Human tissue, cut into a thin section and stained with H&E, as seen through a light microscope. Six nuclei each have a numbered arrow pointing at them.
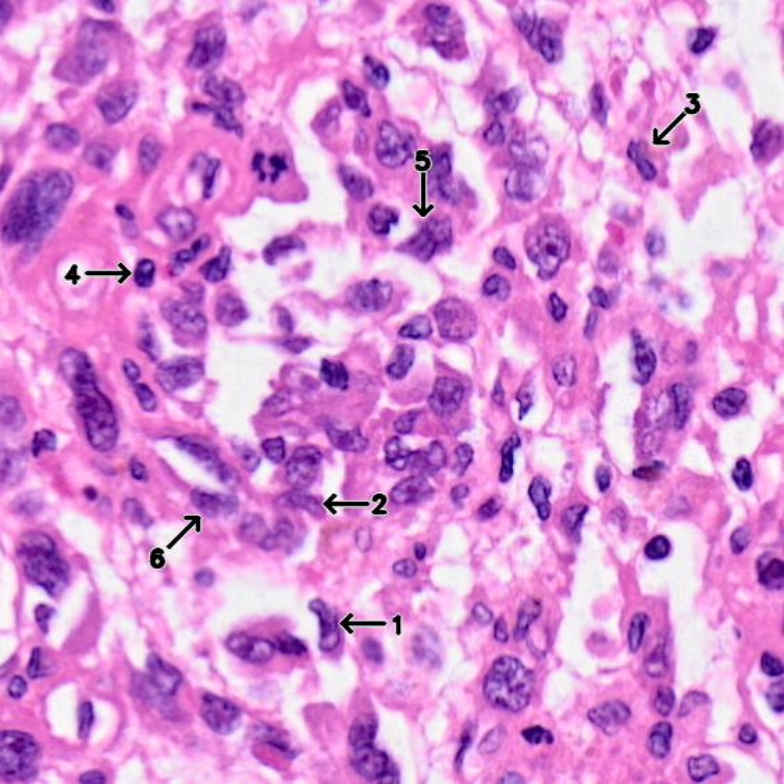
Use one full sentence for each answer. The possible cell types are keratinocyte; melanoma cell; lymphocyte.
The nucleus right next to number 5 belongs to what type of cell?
It is a melanoma cell whose nucleus is nearest to number 5.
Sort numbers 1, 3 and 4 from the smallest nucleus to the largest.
From smallest to largest, the order is 4, 3, 1.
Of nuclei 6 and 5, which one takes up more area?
The larger nucleus is 5, at roughly 1.5 times the area of 6.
